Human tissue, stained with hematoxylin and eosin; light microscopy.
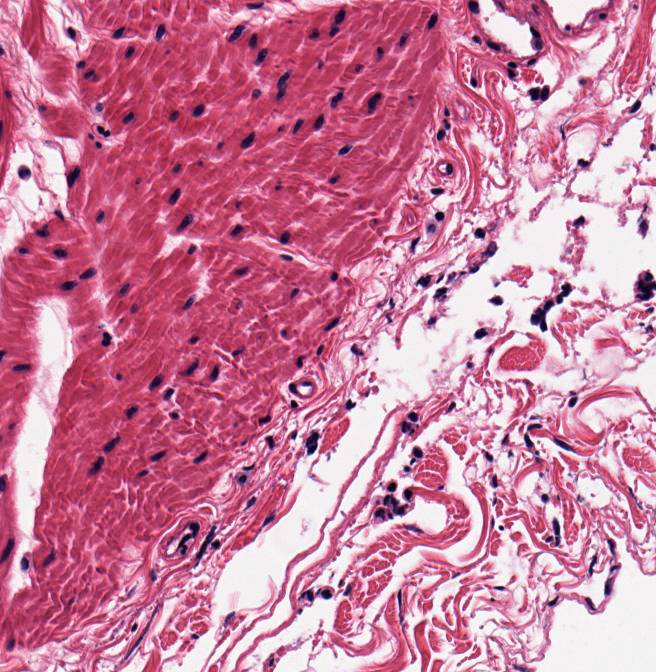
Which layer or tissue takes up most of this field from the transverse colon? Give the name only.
smooth muscle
